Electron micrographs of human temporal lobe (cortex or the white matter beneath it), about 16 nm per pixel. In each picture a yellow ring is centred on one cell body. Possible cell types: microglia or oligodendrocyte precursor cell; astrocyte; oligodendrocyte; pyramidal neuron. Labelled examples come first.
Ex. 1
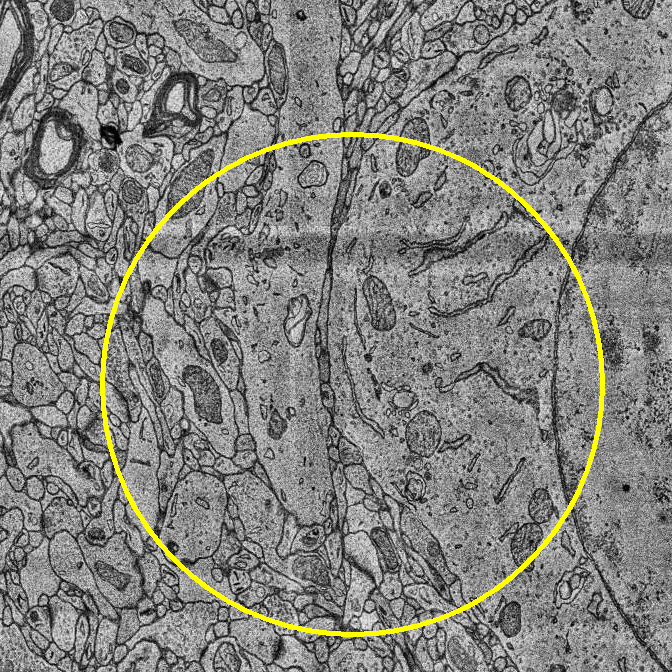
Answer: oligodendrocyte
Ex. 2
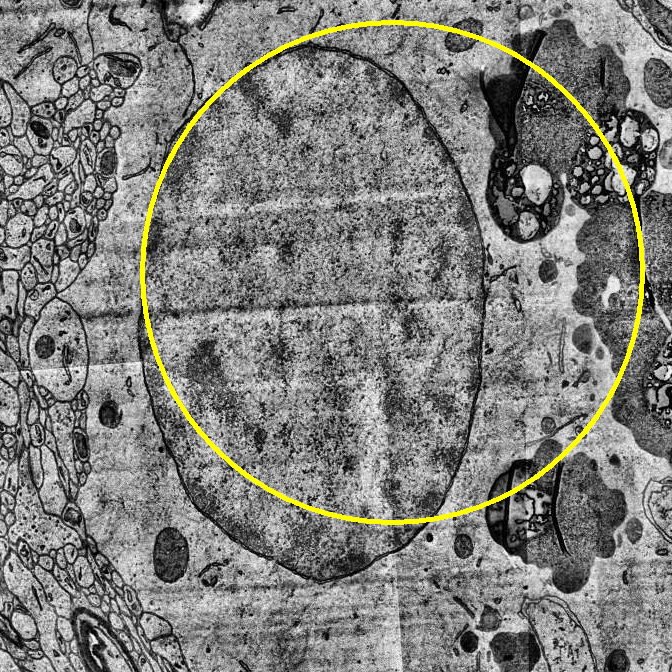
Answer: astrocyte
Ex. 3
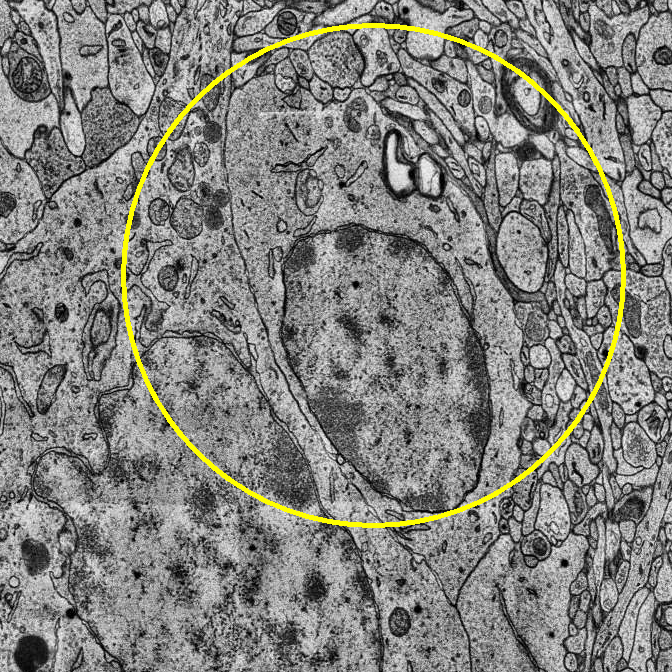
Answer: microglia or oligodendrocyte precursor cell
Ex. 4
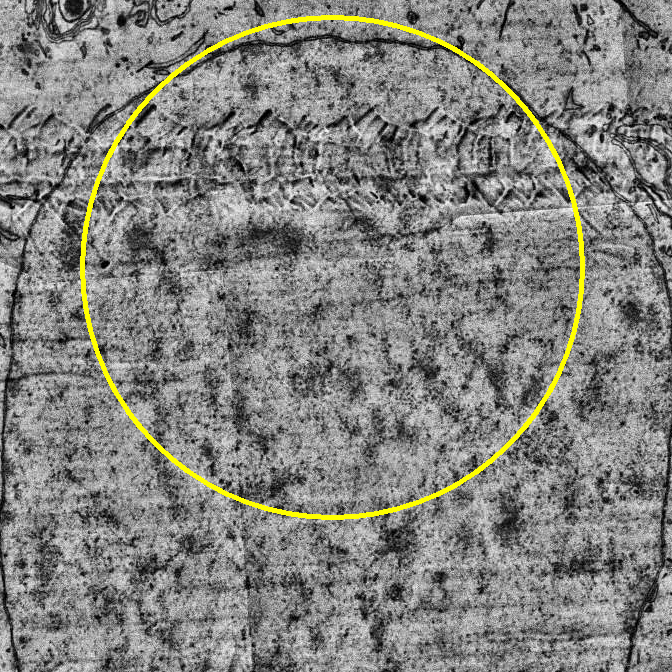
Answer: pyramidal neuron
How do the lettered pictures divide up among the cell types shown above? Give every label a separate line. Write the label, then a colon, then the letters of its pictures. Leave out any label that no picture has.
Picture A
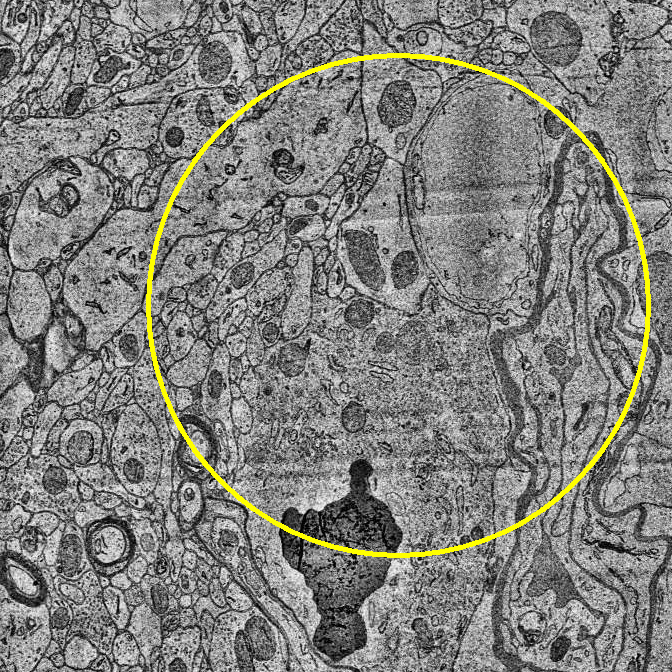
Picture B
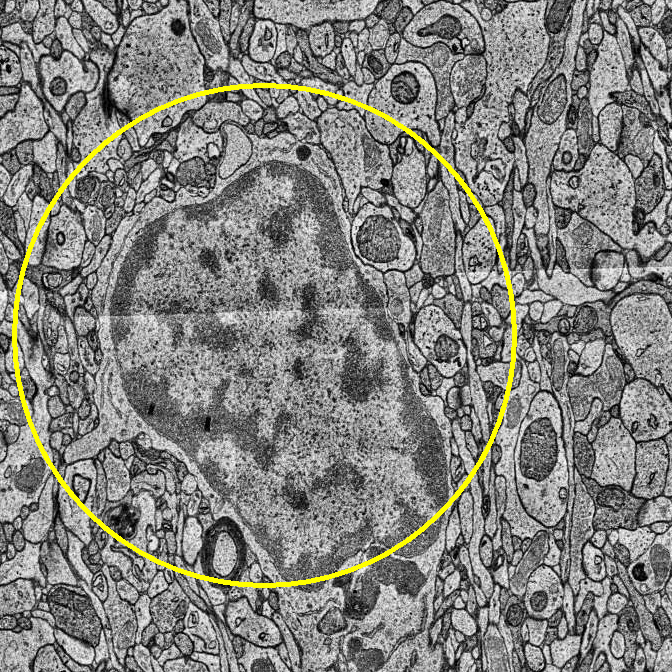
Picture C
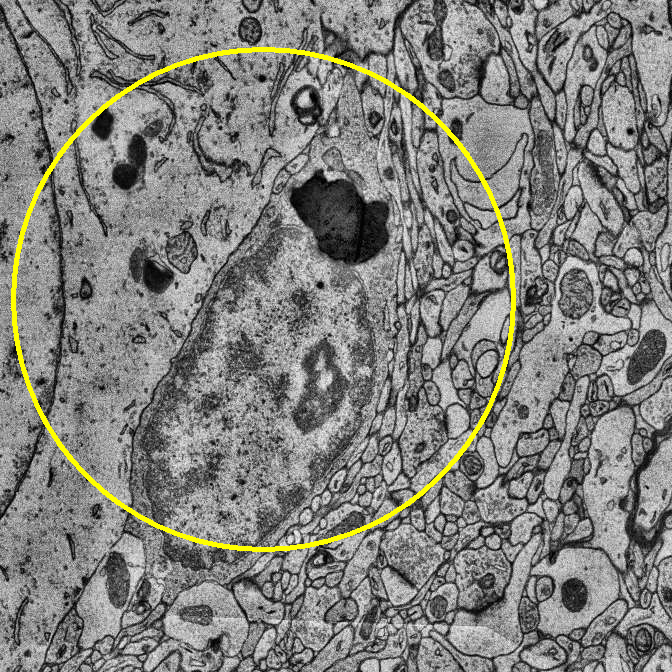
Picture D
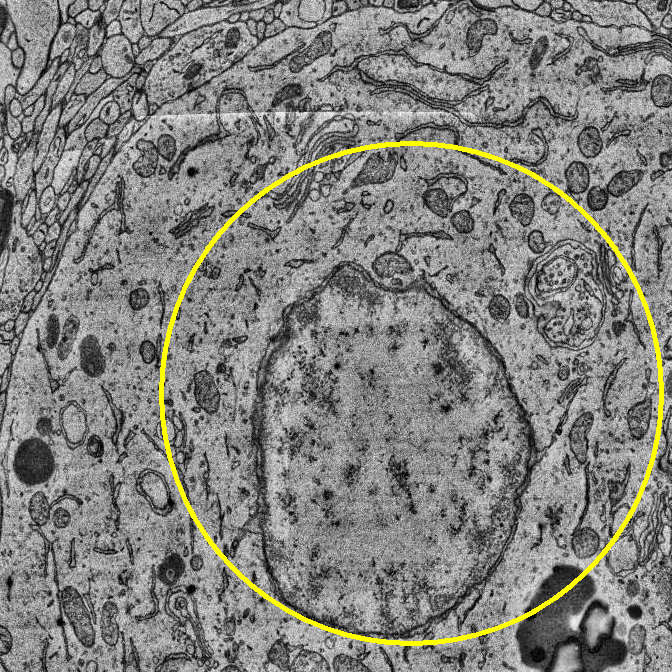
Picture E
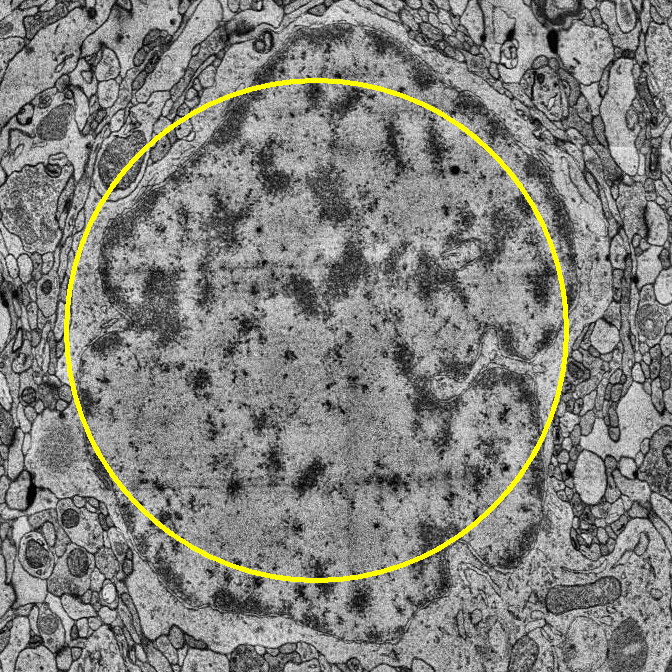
microglia or oligodendrocyte precursor cell: B, E
oligodendrocyte: A, C
pyramidal neuron: D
